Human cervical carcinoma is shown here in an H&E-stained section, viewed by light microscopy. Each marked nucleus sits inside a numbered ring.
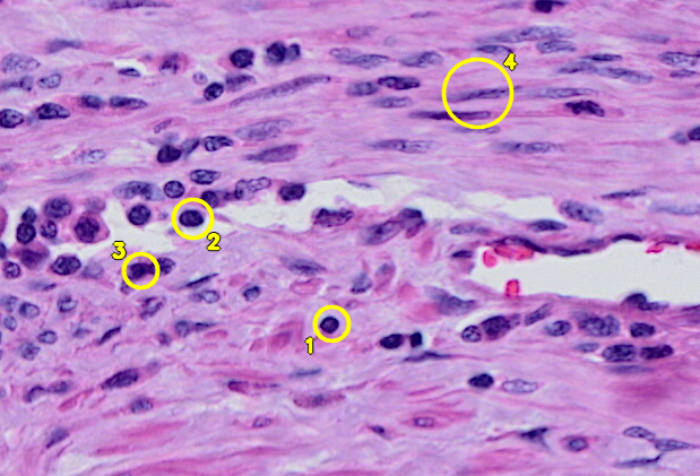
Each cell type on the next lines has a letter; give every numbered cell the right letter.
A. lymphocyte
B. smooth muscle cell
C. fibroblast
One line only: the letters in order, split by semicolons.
A; A; A; C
